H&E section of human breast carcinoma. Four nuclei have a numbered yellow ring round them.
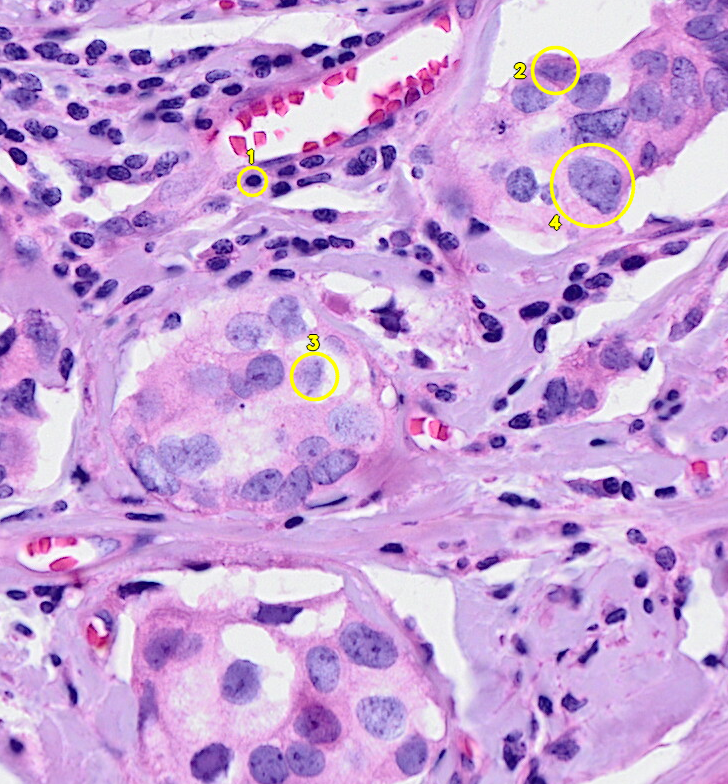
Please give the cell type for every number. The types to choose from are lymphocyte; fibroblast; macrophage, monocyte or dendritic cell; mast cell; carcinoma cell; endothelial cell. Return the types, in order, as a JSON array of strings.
["lymphocyte", "carcinoma cell", "carcinoma cell", "carcinoma cell"]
